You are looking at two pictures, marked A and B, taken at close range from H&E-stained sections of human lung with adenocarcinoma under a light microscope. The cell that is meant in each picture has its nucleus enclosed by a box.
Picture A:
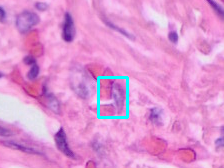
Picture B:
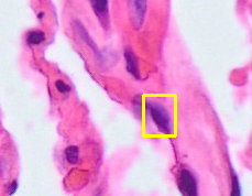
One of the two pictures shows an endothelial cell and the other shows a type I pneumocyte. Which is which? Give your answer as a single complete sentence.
Picture B shows a type I pneumocyte, while picture A shows an endothelial cell.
